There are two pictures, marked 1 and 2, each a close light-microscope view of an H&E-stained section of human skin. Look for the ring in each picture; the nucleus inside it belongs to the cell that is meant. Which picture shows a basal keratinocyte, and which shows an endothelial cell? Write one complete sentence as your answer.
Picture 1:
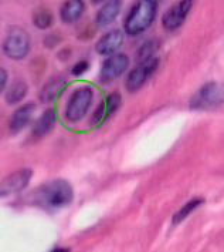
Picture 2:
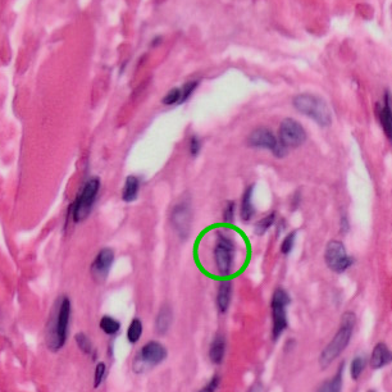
Picture 1 is of a basal keratinocyte, and picture 2 is of an endothelial cell.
